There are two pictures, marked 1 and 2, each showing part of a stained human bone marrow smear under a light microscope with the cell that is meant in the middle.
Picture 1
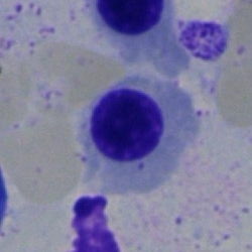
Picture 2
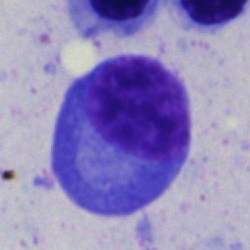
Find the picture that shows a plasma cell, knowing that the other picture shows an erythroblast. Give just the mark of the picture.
2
